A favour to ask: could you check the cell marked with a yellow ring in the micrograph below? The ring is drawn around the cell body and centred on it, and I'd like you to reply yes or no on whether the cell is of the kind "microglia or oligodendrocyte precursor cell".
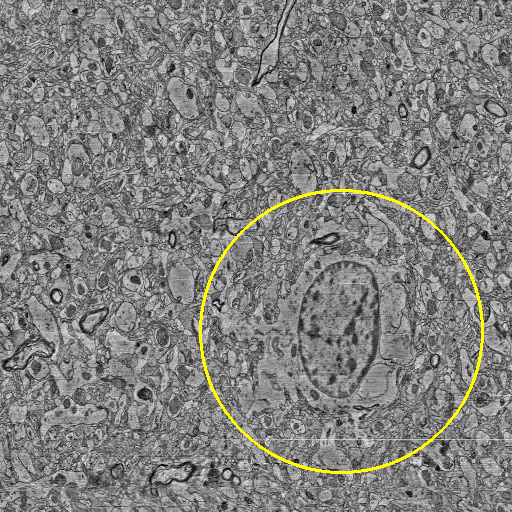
no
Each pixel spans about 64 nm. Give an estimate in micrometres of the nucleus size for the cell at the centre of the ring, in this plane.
In this plane, about 9 by 5 micrometres: the nucleus is clearly longer than it is wide.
